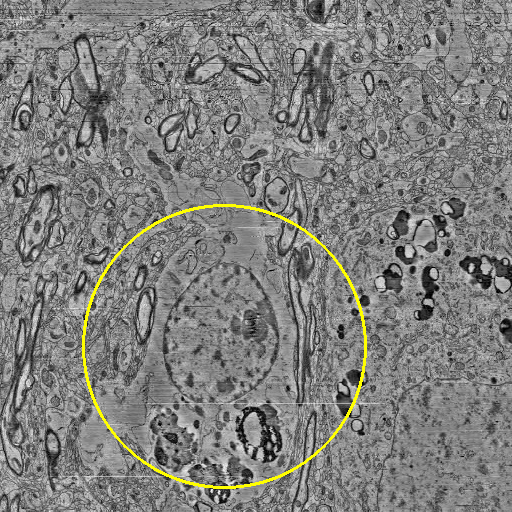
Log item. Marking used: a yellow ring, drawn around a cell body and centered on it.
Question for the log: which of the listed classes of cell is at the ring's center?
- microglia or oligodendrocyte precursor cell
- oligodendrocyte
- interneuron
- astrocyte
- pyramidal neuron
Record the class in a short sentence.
At the center of the ring lies an astrocyte.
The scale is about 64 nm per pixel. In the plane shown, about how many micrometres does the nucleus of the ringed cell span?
In this plane the nucleus measures roughly 9 by 7 micrometers.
